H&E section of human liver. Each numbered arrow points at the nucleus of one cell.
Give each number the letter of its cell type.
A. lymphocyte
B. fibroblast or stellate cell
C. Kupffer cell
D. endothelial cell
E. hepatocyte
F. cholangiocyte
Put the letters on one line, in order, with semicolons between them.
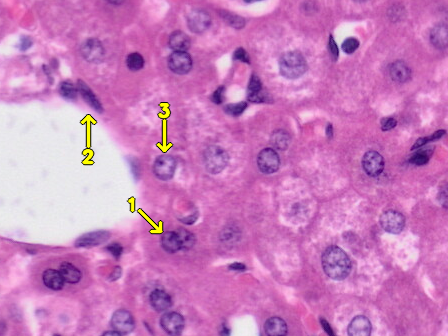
E; B; E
